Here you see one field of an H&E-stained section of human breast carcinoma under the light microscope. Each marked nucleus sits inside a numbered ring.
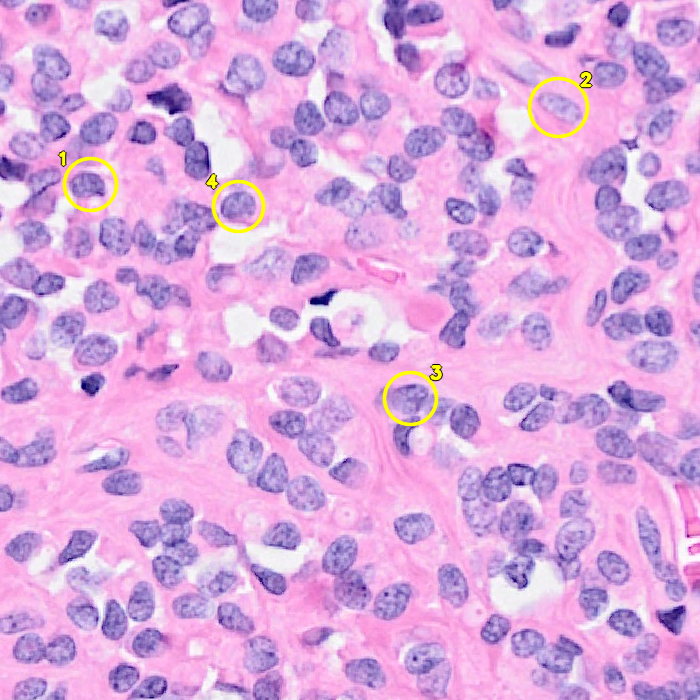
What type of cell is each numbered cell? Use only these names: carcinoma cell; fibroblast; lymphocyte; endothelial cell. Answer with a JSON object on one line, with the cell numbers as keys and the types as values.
{"1": "carcinoma cell", "2": "endothelial cell", "3": "carcinoma cell", "4": "carcinoma cell"}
